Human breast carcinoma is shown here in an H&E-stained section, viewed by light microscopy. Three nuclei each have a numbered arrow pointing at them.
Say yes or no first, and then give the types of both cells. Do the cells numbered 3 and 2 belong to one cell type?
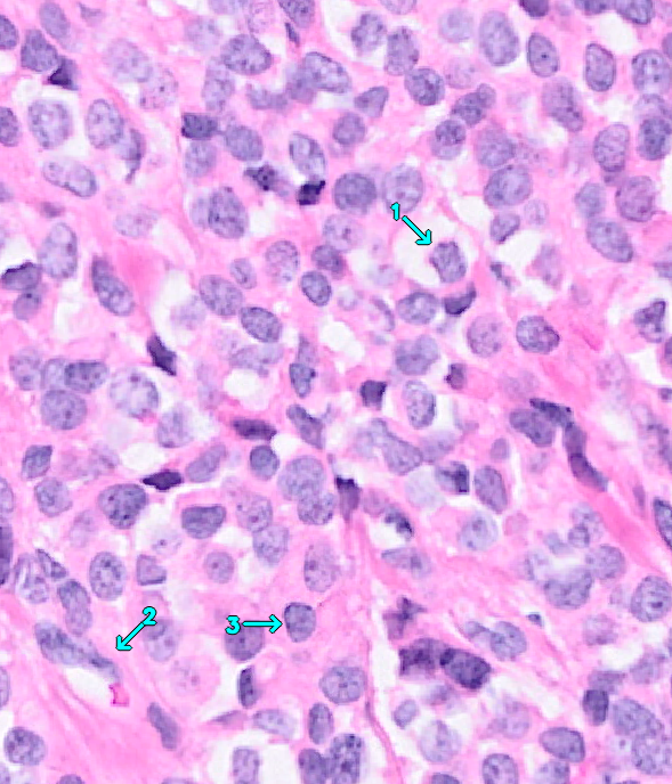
No, cell 3 is a carcinoma cell and cell 2 is an endothelial cell.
